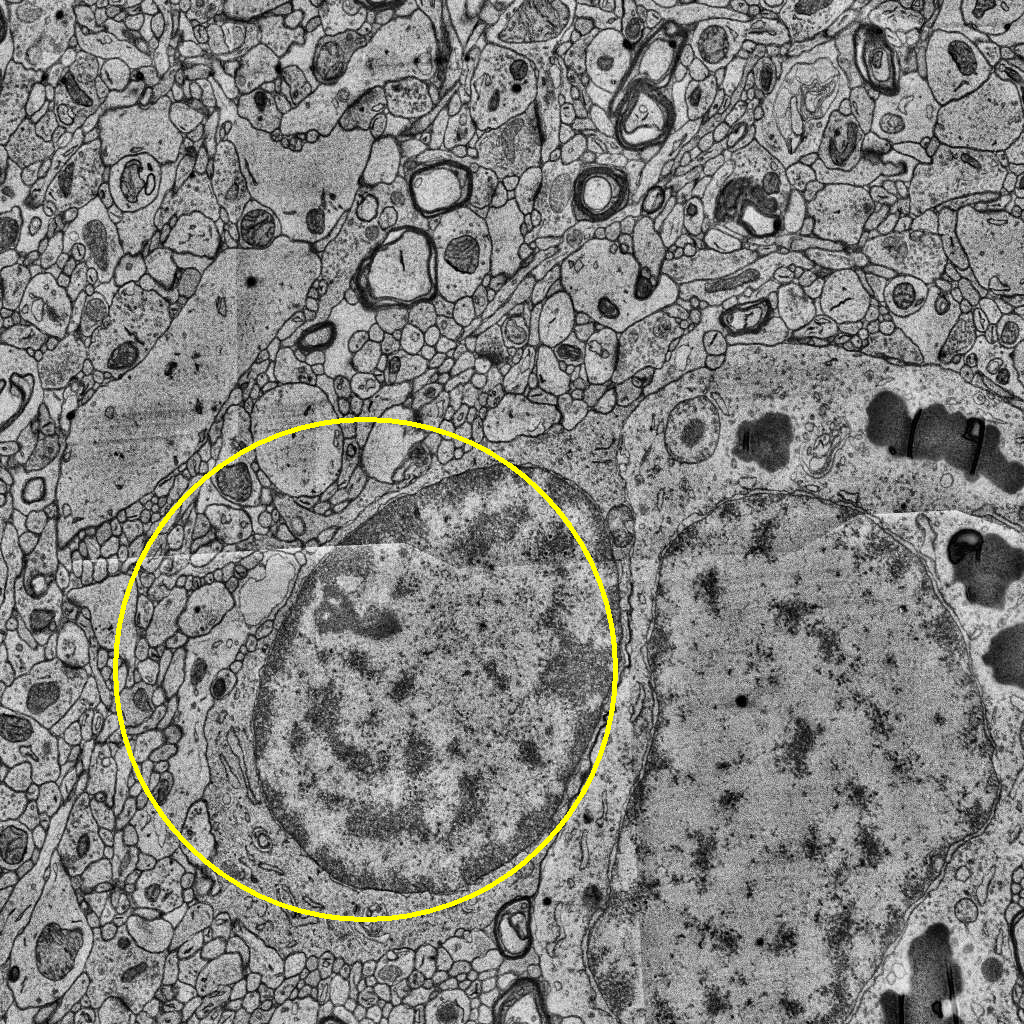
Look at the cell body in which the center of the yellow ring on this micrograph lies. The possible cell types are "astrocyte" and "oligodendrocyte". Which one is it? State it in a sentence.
The cell at the middle of the ring is an oligodendrocyte.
